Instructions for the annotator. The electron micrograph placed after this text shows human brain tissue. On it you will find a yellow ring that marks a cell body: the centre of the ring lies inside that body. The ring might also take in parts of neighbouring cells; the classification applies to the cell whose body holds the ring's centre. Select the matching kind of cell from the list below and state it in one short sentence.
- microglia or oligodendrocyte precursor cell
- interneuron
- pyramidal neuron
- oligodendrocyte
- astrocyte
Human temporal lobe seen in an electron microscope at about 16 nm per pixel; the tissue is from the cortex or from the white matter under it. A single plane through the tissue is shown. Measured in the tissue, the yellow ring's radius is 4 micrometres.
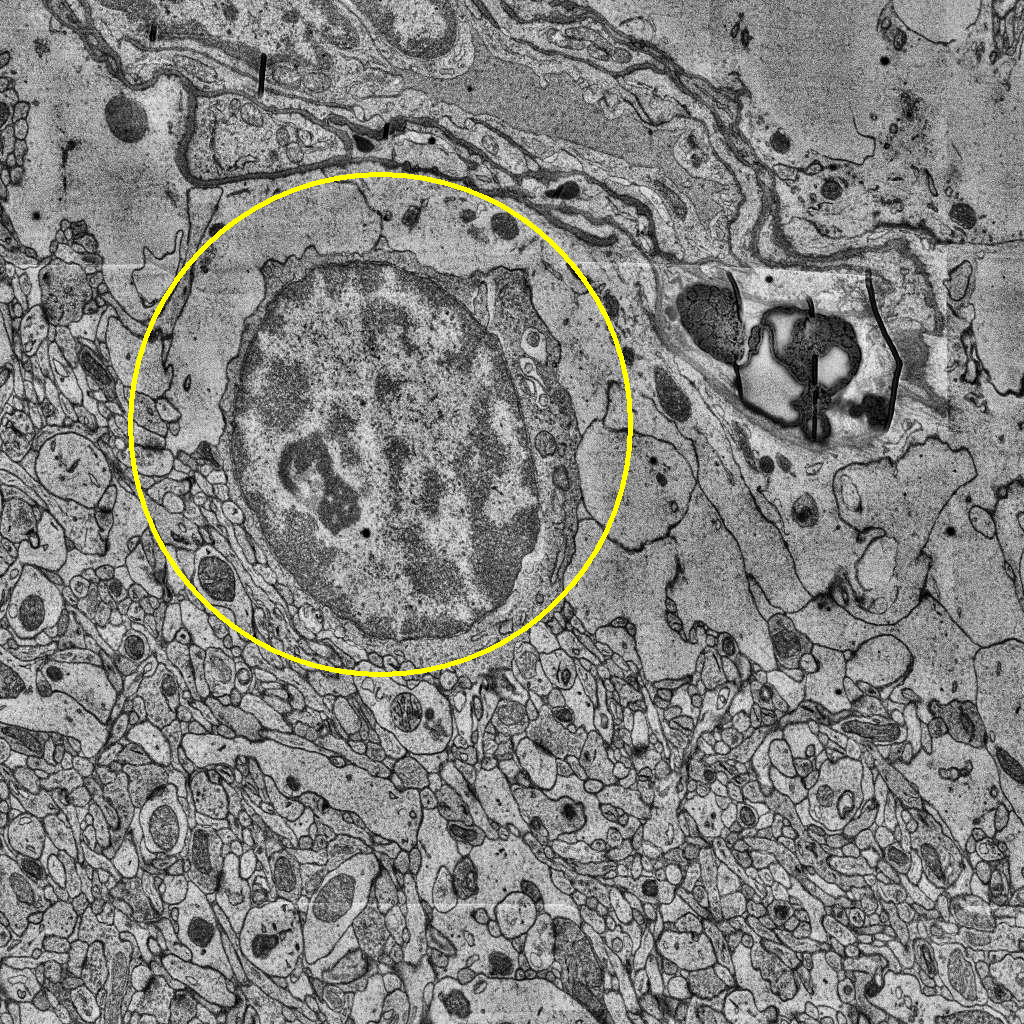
The centre of the ring lies in the cell body of an oligodendrocyte.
